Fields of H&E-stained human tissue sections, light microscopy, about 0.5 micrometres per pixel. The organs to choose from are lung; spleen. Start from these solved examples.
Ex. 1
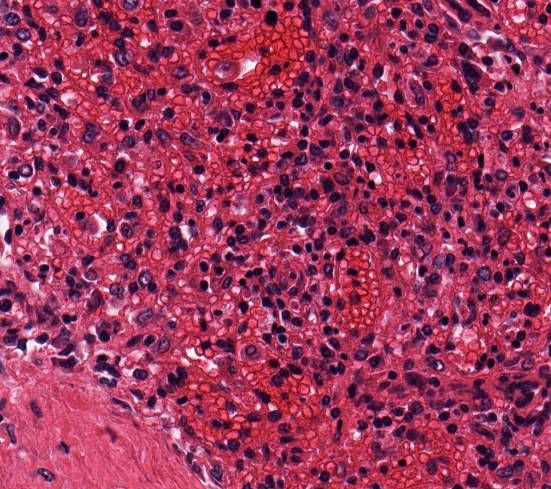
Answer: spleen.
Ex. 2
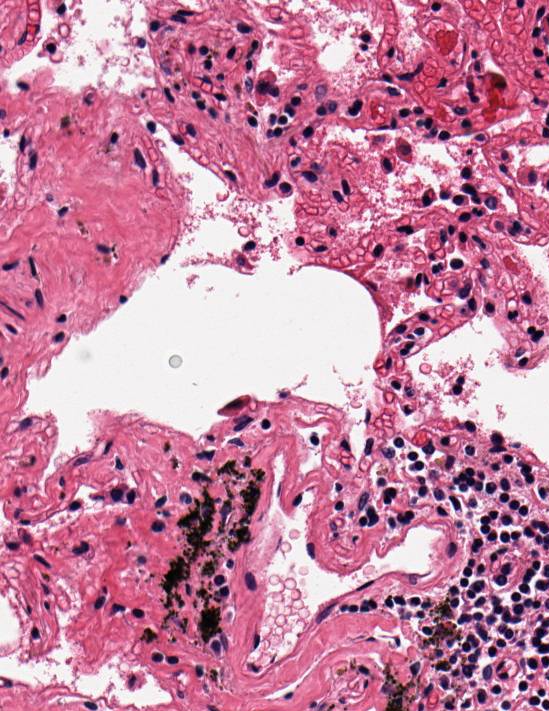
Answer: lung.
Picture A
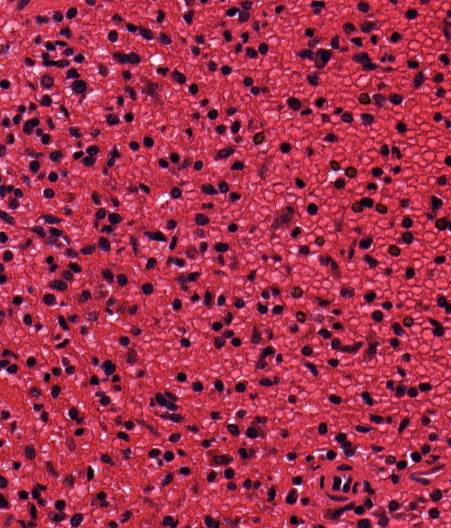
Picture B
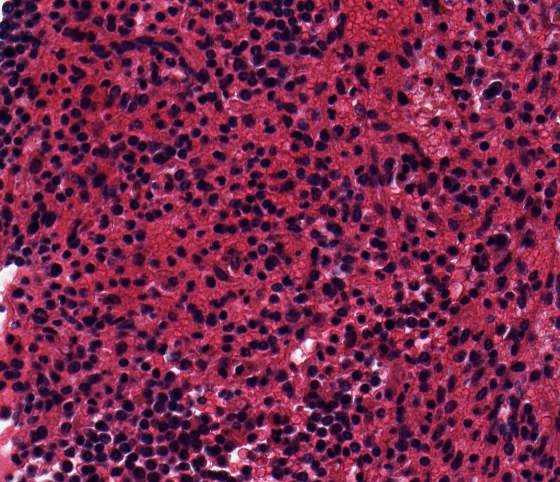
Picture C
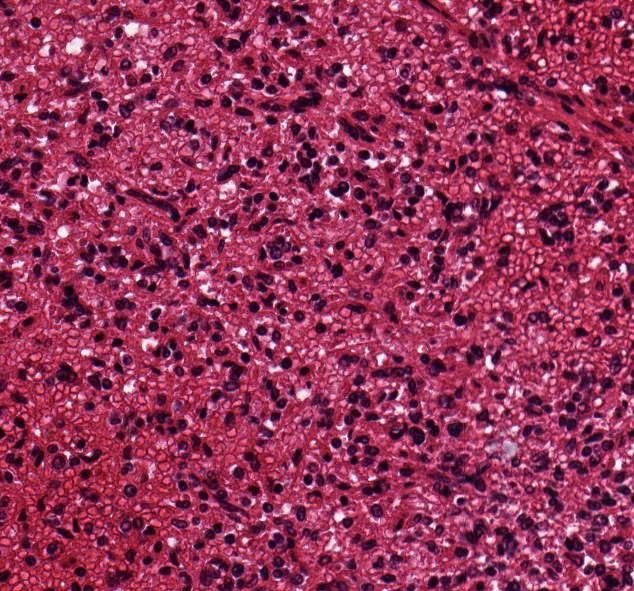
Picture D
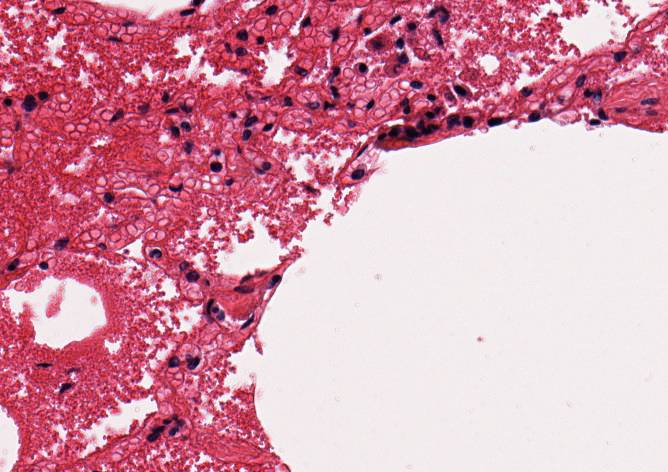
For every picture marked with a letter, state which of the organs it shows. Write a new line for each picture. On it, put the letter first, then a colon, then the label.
A: spleen.
B: spleen.
C: spleen.
D: lung.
